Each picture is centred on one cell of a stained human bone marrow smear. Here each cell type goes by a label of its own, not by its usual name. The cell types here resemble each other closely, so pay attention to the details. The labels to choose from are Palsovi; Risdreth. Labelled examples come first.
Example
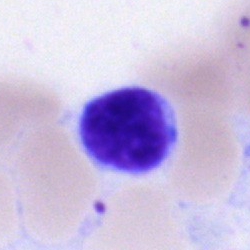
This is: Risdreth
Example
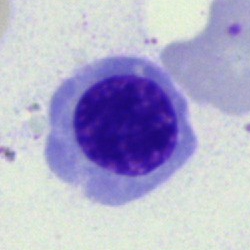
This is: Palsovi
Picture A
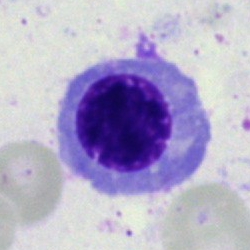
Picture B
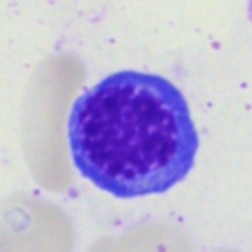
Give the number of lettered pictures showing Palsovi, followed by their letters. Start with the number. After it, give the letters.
2: A, B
